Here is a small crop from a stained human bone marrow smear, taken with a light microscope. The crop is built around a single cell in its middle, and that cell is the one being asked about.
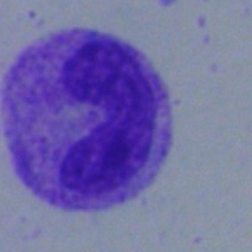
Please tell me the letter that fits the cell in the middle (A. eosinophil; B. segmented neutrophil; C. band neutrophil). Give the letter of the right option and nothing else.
C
